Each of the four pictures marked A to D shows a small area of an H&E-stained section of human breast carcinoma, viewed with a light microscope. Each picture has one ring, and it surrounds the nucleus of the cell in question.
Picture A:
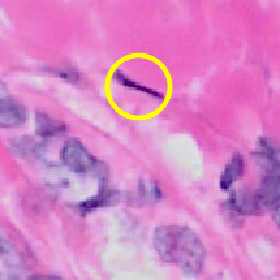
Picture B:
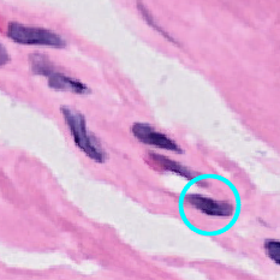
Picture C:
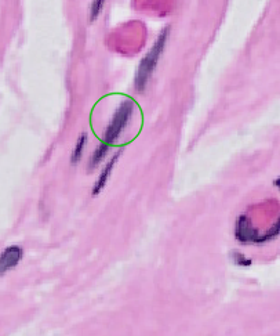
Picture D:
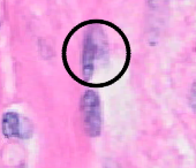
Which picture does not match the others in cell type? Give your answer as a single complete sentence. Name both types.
Unlike the rest, which show endothelial cells, picture A shows a fibroblast.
